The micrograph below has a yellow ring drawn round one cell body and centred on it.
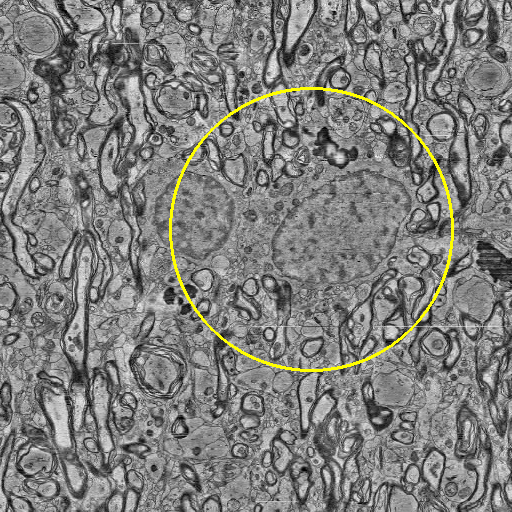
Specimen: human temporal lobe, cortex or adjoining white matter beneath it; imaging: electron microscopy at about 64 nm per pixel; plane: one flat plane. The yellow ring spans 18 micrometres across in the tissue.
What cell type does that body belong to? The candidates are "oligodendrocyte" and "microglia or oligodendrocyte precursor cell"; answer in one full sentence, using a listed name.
This is an oligodendrocyte, the cell whose body lies at the centre of the ring.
